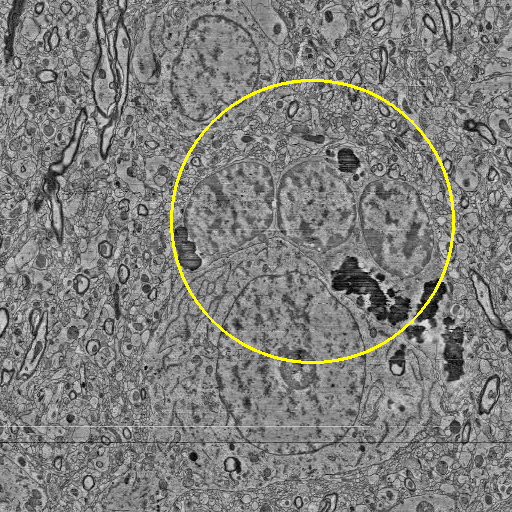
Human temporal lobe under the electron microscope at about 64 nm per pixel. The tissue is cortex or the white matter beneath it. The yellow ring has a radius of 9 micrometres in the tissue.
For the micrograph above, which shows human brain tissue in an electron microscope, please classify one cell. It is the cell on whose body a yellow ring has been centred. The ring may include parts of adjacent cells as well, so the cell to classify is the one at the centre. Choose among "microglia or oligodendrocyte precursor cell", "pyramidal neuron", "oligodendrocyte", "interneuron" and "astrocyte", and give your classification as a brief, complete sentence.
I classify this cell as an oligodendrocyte.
